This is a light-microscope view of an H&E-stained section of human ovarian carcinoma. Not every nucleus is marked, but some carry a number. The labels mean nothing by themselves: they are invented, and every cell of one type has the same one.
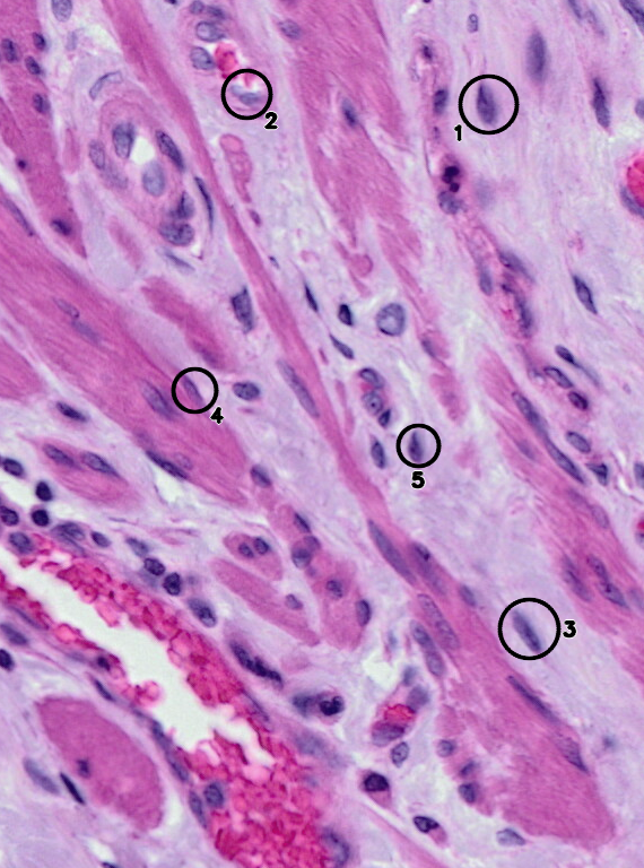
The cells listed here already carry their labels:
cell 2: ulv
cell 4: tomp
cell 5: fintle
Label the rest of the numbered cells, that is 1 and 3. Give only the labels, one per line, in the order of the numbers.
fintle
fintle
